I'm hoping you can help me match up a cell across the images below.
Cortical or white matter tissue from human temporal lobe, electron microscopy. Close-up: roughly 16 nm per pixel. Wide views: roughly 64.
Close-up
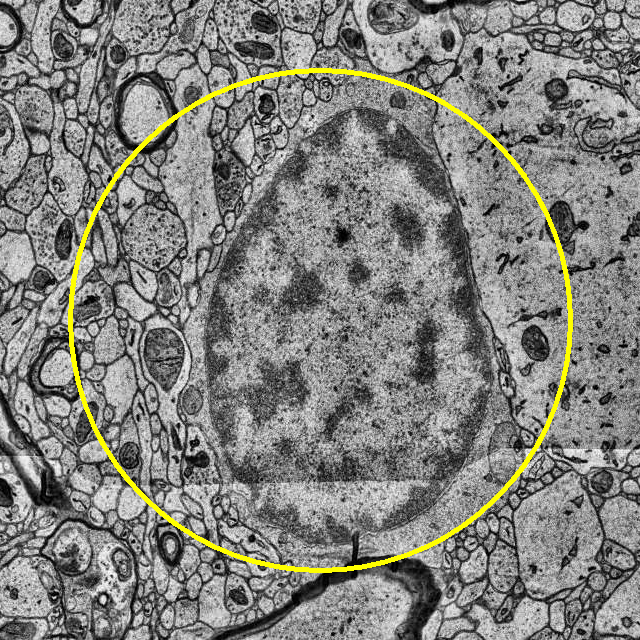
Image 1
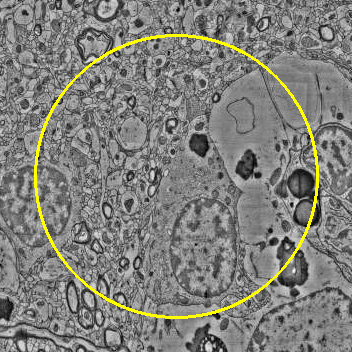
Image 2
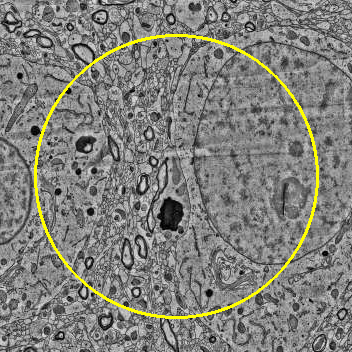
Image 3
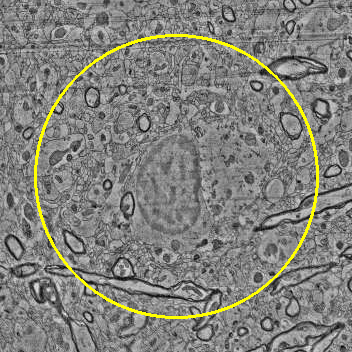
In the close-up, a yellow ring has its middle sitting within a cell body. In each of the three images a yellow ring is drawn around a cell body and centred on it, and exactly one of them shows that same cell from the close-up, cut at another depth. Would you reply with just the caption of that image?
Image 3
